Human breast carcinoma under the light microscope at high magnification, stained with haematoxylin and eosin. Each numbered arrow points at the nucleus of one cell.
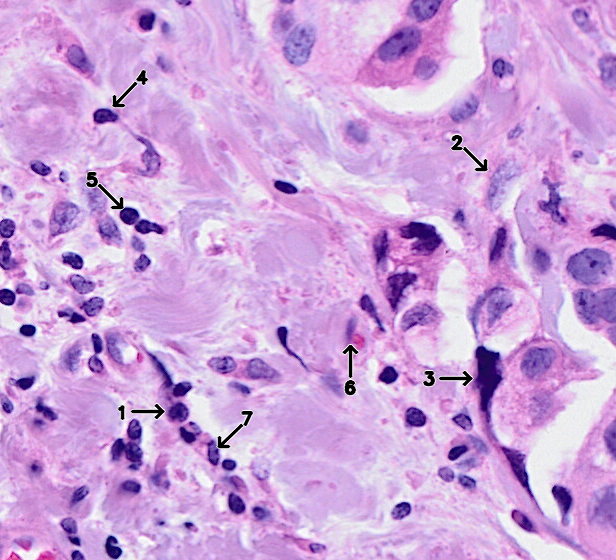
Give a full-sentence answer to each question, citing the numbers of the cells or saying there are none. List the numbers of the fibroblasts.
Among the cells marked with numbers, the only one that is a fibroblast is number 2.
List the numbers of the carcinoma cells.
Mind that only cell 3 is a carcinoma cell, none of the rest.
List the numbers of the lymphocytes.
Cells 1, 4, 5 and 7 are of one type, namely lymphocytes.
